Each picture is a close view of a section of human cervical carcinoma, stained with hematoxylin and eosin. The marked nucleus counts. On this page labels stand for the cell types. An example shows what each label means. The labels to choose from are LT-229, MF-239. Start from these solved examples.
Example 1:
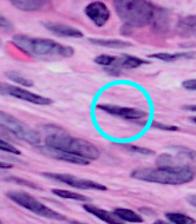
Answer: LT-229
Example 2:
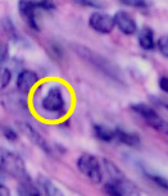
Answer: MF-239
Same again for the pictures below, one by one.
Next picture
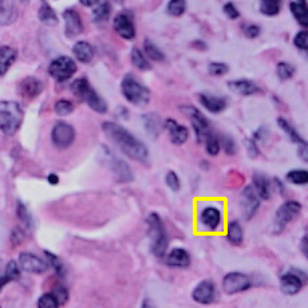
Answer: MF-239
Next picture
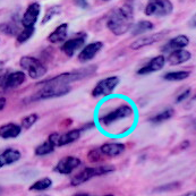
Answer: MF-239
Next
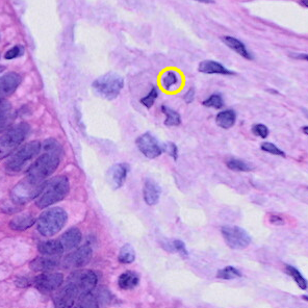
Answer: LT-229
